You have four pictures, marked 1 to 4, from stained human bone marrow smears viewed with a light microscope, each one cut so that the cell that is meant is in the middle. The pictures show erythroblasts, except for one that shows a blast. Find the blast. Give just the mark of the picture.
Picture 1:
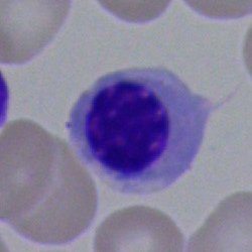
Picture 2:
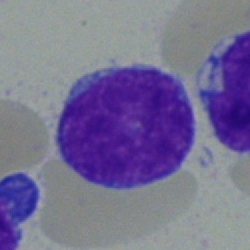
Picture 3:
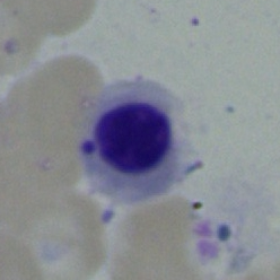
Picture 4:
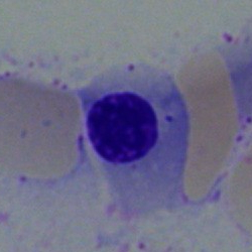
2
